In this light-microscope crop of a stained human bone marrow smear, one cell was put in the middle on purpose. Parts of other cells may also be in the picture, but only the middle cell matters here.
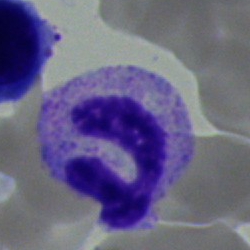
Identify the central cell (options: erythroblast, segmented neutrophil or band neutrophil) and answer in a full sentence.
The cell at the middle of the frame should be recorded as a segmented neutrophil.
